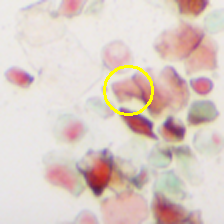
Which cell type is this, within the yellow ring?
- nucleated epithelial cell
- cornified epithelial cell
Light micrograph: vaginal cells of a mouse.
Within the ring is a cornified epithelial cell.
